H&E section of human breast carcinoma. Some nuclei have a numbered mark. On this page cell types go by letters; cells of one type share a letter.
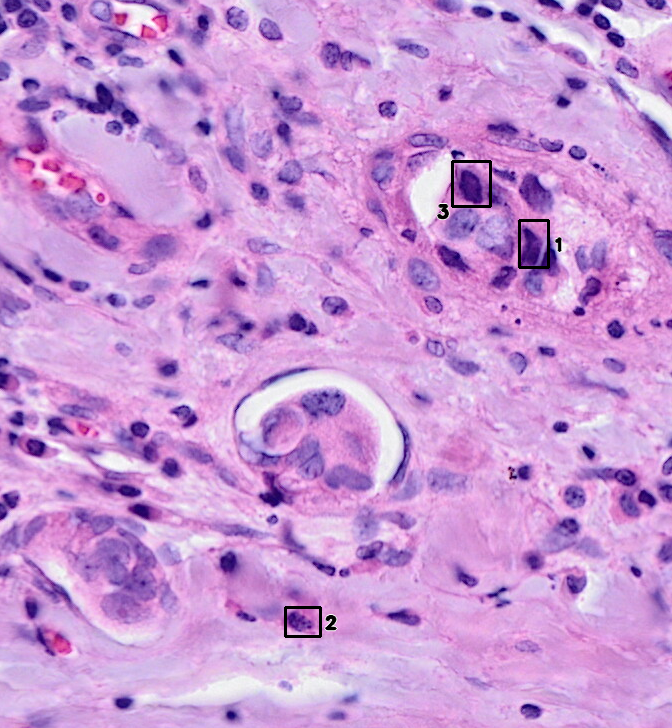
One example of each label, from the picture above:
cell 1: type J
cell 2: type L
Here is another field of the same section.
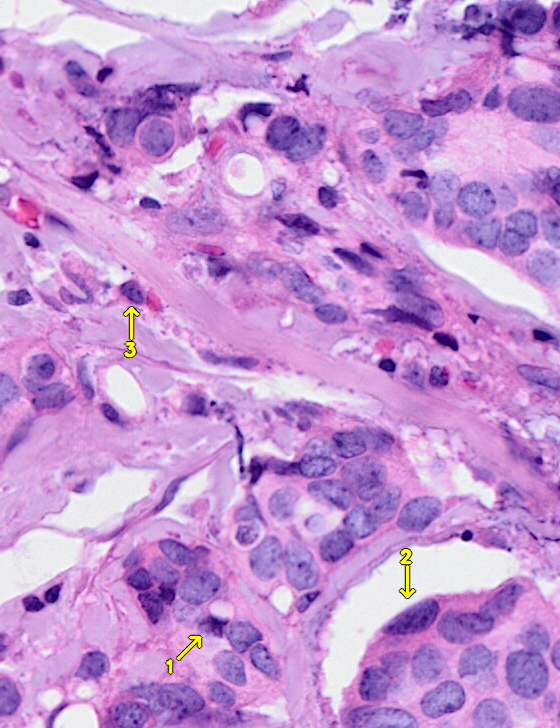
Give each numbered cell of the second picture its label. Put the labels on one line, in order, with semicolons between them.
type J; type J; type L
